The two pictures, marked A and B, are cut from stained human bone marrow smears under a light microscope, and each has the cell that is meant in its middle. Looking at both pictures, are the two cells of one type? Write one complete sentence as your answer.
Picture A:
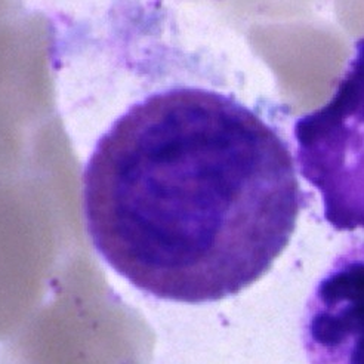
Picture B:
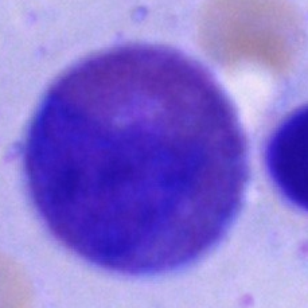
Yes, both are eosinophils.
